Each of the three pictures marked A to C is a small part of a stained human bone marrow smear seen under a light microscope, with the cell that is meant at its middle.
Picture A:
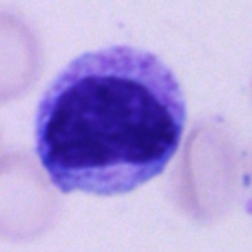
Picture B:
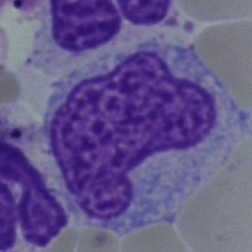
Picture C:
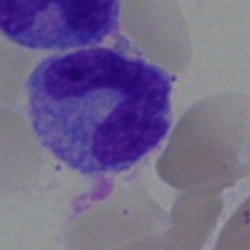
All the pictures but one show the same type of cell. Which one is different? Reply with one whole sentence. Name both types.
All pictures except A show monocytes; picture A shows a metamyelocyte.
